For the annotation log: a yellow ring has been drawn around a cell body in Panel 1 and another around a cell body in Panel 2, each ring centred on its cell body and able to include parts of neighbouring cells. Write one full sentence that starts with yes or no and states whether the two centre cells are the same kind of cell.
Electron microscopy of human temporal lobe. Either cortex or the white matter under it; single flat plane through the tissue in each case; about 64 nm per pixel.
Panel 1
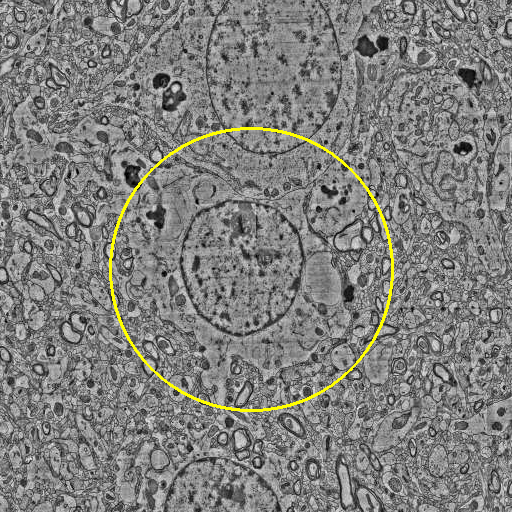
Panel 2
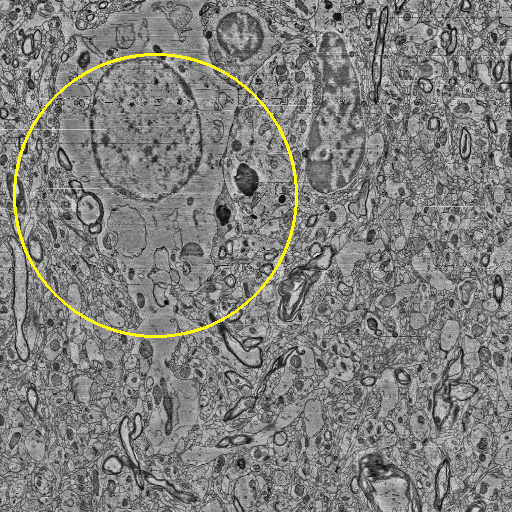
Yes, the two centre cells are the same kind of cell.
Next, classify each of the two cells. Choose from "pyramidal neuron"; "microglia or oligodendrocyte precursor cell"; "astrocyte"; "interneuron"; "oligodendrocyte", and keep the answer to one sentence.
Both pictures show an astrocyte at the centre of the ring.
